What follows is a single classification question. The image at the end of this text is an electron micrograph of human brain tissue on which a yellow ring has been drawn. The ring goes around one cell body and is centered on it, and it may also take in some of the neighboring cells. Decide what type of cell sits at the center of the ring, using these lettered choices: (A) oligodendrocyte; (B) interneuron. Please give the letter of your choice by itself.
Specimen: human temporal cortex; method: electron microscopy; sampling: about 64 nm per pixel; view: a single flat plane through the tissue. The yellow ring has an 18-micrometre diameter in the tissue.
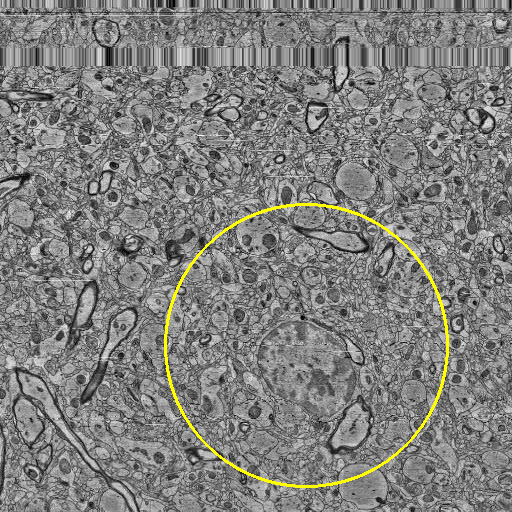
A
